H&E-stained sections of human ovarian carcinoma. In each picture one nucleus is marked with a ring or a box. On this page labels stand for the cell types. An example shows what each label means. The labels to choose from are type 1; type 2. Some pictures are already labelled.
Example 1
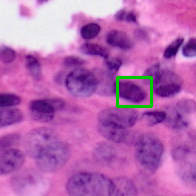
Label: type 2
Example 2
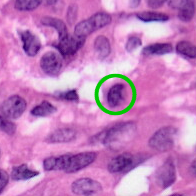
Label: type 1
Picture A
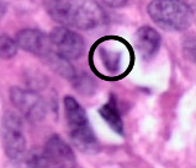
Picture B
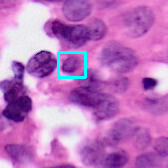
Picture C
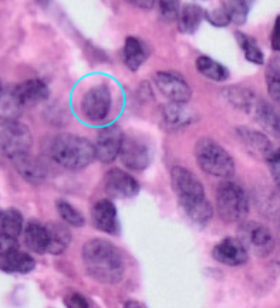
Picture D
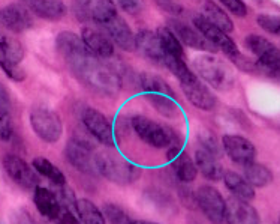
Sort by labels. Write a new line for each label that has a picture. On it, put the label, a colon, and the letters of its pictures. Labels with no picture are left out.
type 2: A, B, C, D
